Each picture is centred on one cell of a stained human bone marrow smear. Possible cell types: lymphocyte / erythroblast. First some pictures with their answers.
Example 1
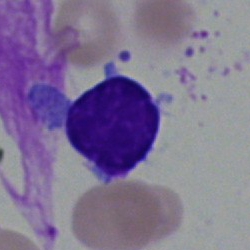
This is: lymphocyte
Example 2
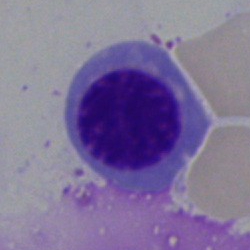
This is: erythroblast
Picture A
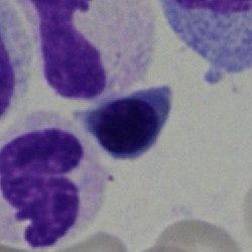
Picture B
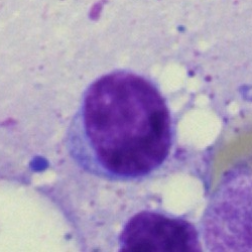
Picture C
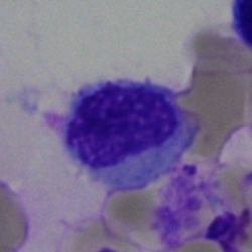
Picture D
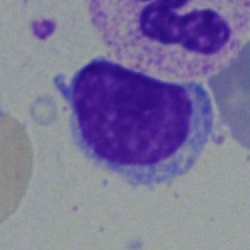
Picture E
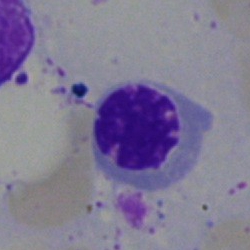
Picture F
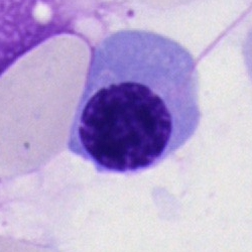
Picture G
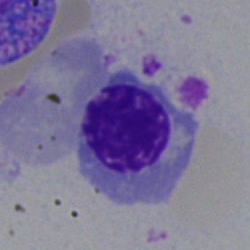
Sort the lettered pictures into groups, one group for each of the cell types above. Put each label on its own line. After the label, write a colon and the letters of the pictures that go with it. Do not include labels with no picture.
lymphocyte: B, C, D
erythroblast: A, E, F, G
